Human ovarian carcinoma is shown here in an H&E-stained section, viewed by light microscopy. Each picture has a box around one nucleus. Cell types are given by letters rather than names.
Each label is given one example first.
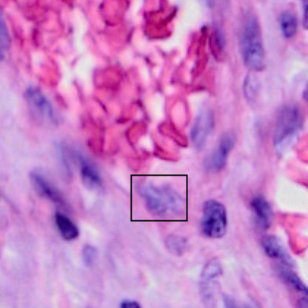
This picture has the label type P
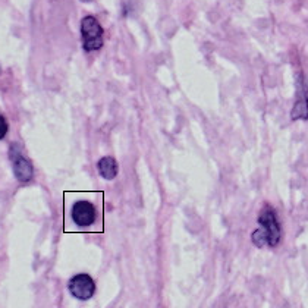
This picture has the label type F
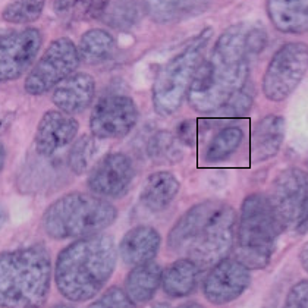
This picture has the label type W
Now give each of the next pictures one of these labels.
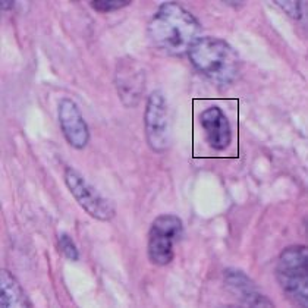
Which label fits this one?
type F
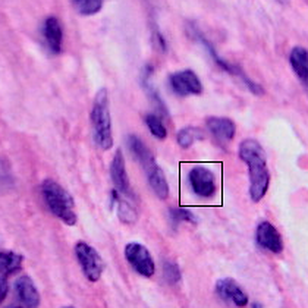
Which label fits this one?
type F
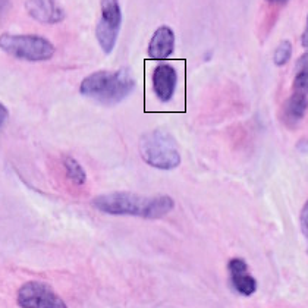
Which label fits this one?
type F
